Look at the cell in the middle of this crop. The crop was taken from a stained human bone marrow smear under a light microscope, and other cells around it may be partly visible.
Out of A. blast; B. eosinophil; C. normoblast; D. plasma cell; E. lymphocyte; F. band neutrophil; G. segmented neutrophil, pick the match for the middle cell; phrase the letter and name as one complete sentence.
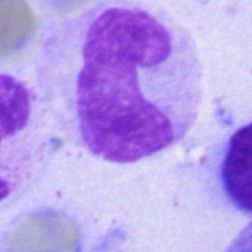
Option F is the correct option, with the middle cell being a band neutrophil.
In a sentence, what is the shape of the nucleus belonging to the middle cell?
The cell carries one compact nucleus shaped round, oval or like a kidney.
